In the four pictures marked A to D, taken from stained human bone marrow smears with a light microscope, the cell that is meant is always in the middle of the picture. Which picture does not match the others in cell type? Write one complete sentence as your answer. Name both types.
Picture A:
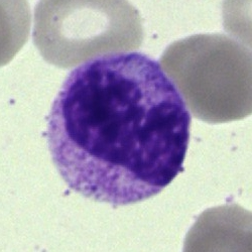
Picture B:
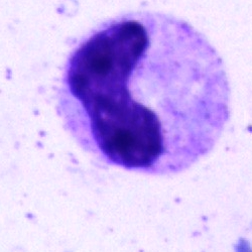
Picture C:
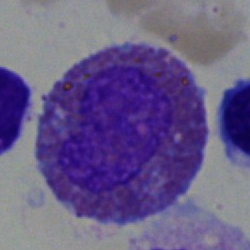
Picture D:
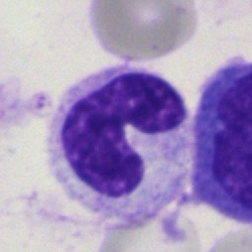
Picture C differs, because its cell is an eosinophil and the rest are band neutrophils.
